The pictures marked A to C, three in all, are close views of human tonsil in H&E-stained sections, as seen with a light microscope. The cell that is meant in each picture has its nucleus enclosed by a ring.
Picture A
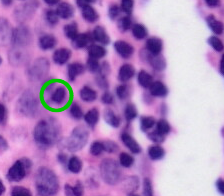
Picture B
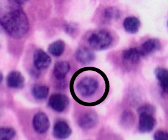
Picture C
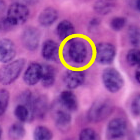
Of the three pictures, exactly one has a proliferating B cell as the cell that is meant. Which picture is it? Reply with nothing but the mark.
A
